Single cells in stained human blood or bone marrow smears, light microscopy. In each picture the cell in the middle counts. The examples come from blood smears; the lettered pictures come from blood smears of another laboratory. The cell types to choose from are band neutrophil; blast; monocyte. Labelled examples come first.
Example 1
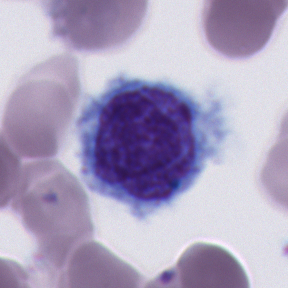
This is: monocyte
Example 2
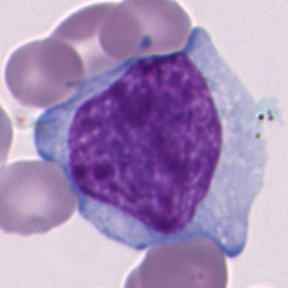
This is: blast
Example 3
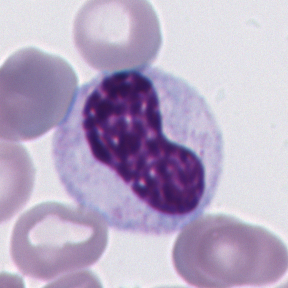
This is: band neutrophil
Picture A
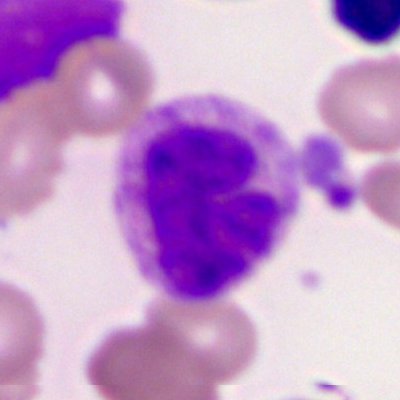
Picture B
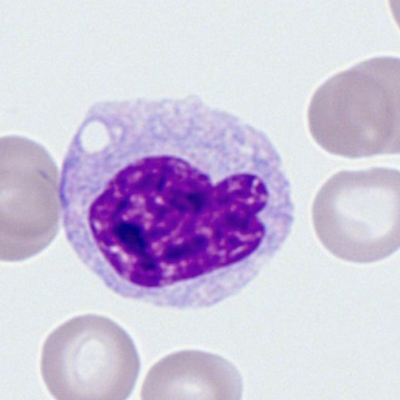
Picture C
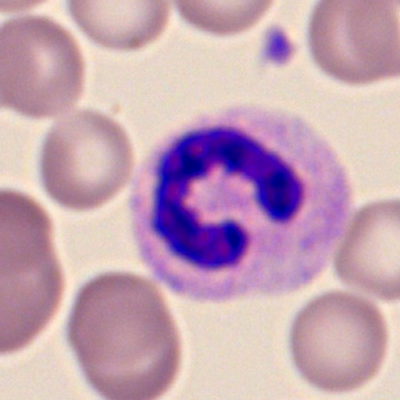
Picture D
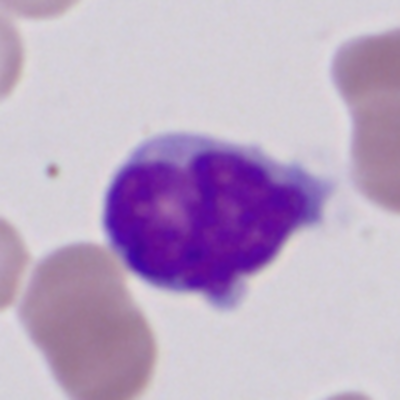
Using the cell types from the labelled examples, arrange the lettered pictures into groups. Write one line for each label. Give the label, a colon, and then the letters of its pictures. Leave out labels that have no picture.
band neutrophil: A, C
monocyte: B, D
